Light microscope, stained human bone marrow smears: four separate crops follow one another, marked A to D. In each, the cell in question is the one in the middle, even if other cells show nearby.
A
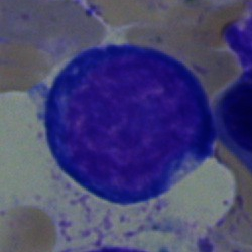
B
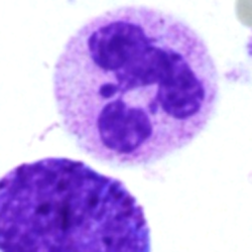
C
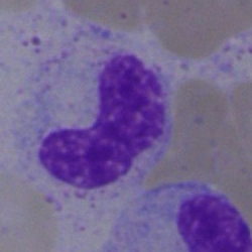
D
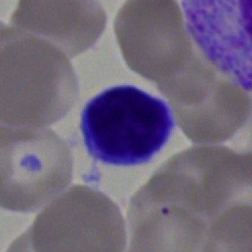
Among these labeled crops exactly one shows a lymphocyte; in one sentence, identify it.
Of the crops shown, crop D depicts a lymphocyte.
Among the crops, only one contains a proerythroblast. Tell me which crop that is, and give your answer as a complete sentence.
Crop A is identified as the crop showing a proerythroblast.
